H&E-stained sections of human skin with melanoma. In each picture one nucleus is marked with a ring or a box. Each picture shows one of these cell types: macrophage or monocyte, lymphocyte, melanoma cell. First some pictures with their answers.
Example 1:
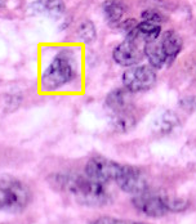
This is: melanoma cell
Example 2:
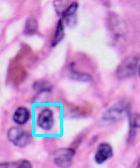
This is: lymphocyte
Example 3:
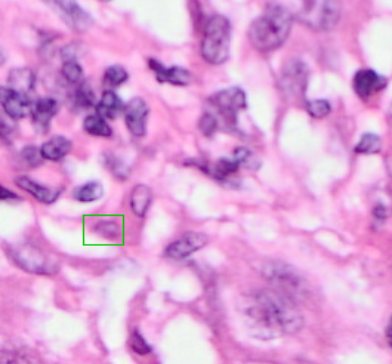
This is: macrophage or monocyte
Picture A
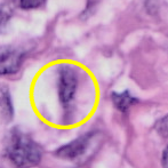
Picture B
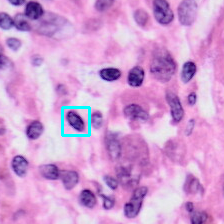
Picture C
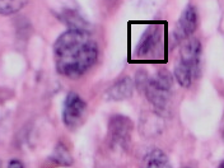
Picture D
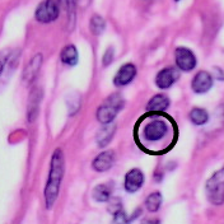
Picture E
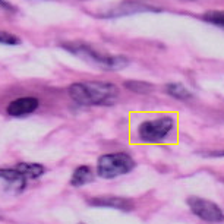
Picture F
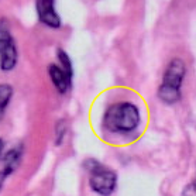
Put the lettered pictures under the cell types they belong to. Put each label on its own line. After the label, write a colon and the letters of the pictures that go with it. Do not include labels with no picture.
macrophage or monocyte: F
lymphocyte: B, D, E
melanoma cell: A, C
